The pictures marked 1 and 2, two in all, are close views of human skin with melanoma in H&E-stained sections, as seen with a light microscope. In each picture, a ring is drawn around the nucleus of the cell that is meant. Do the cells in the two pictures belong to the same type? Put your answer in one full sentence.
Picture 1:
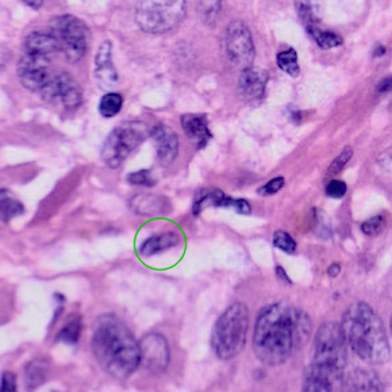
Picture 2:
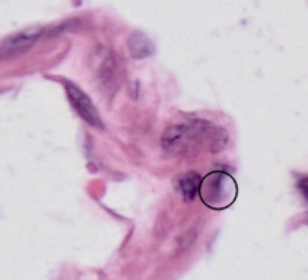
No; the cell in picture 1 is a “macrophage or monocyte”, while the one in picture 2 is an endothelial cell.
